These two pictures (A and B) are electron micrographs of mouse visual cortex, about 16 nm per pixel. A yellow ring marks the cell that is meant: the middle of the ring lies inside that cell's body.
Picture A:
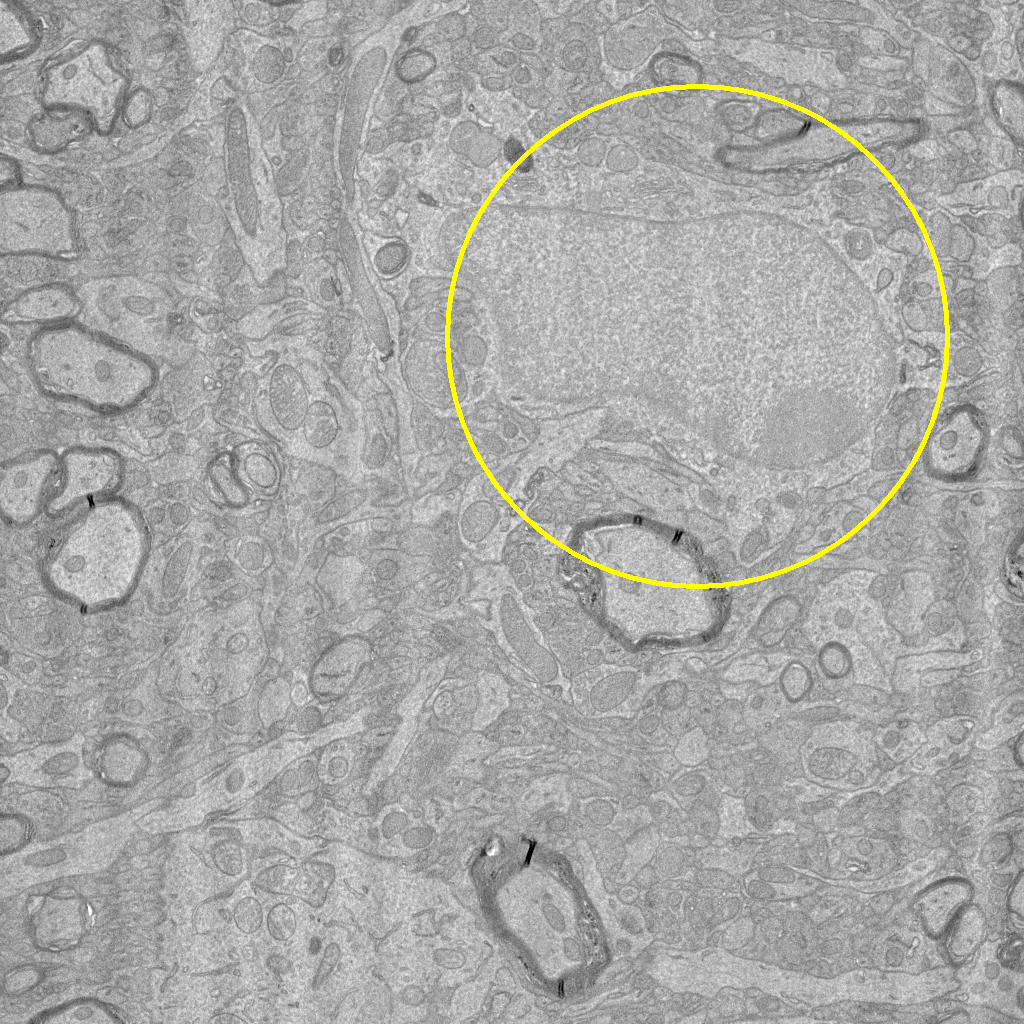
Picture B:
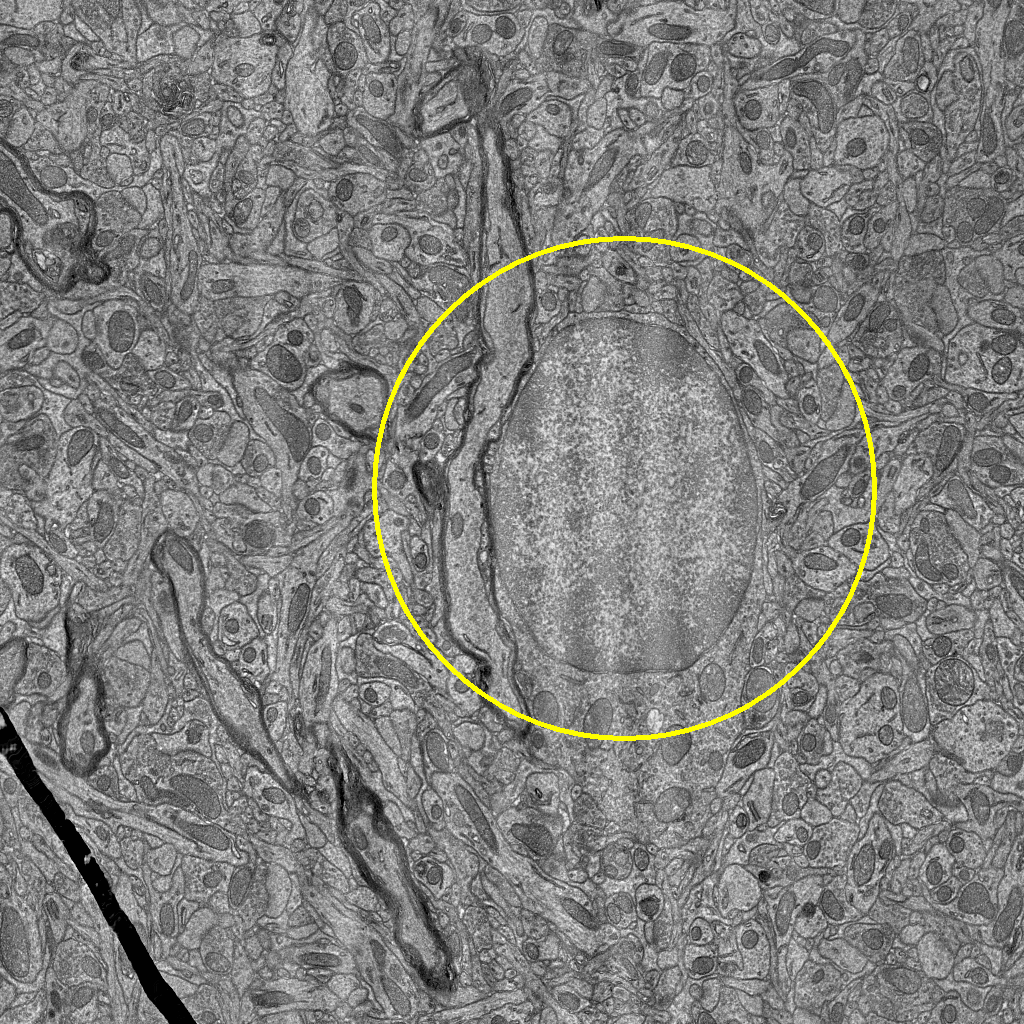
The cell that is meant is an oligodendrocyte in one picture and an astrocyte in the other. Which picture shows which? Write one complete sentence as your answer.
It is picture A that shows an astrocyte, and picture B that shows an oligodendrocyte.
